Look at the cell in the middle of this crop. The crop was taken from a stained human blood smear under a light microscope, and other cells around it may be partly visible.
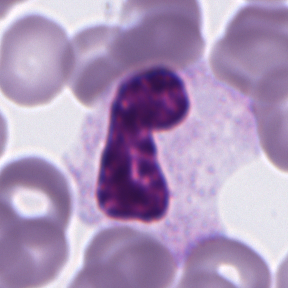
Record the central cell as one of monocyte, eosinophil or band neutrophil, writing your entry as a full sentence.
The cell in the middle of this crop is a band neutrophil.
